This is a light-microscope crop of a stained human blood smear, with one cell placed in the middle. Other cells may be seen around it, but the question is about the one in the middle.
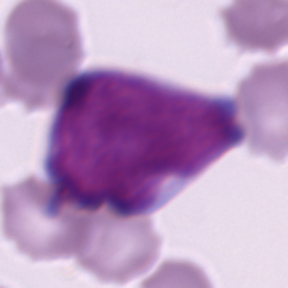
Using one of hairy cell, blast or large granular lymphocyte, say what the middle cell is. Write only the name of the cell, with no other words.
blast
